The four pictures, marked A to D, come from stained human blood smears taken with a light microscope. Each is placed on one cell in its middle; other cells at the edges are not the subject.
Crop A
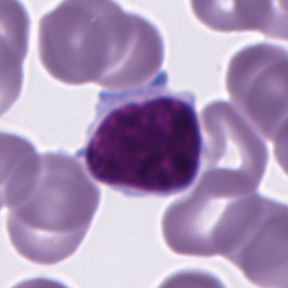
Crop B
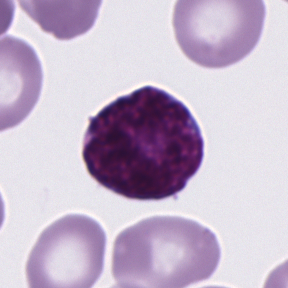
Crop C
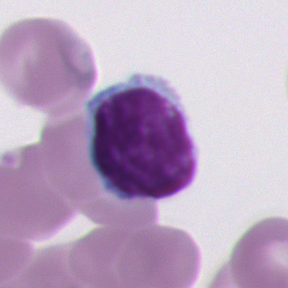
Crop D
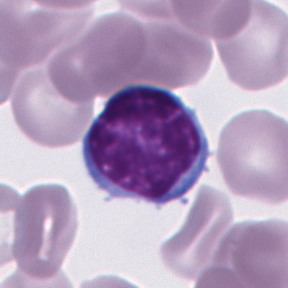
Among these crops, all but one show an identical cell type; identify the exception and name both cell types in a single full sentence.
As the exception to the typical lymphocytes in the other crops, crop B shows a myeloblast.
